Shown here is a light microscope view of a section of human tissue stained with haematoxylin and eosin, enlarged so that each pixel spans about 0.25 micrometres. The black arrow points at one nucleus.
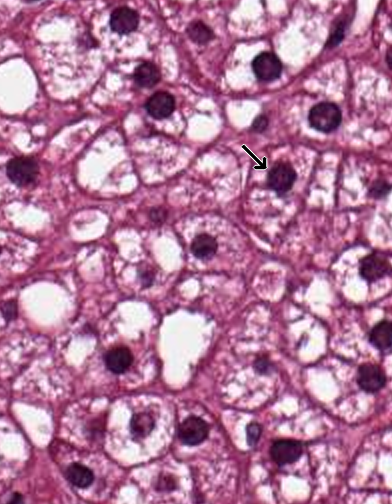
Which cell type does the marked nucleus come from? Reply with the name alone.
adrenal cortical cell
